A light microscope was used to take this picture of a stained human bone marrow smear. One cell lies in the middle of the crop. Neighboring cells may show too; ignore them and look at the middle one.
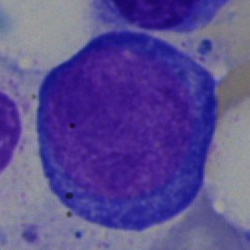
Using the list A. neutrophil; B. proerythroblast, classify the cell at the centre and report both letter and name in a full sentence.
The cell in the middle is a proerythroblast, and that makes option B correct.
